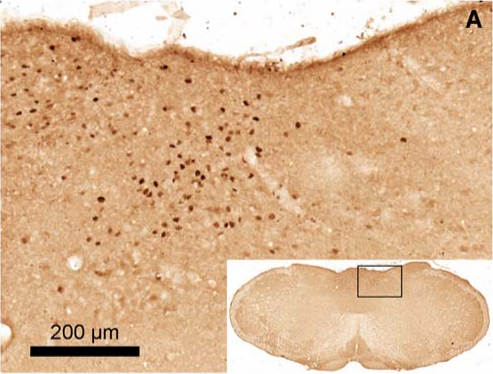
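Dorsomedial brainstem with neurons showing dark brown nuclear labeling against a pale tan neuropil. The labeled nuclei are small, round to oval dots, densest in a loose cluster in the centre of the field and more sparsely scattered toward the upper left near the dorsal surface. The dorsal surface runs along the top as a darker brown rim. Unlabeled tissue appears homogeneous pale brown with a few small clear vessel profiles and paler fibrous areas to the right.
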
